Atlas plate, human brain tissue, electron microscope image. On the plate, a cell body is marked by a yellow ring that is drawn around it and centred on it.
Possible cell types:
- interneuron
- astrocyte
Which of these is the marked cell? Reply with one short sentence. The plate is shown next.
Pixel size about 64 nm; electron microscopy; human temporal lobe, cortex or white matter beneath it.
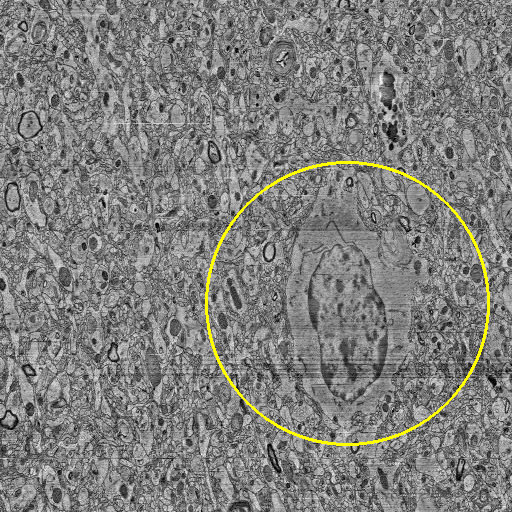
The marked cell is an astrocyte.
